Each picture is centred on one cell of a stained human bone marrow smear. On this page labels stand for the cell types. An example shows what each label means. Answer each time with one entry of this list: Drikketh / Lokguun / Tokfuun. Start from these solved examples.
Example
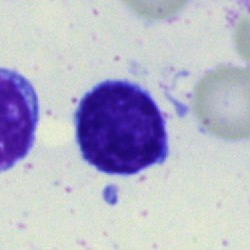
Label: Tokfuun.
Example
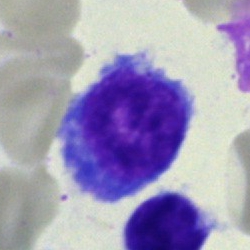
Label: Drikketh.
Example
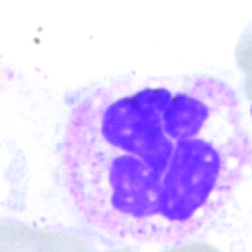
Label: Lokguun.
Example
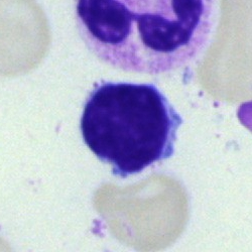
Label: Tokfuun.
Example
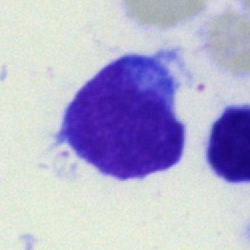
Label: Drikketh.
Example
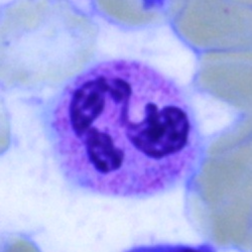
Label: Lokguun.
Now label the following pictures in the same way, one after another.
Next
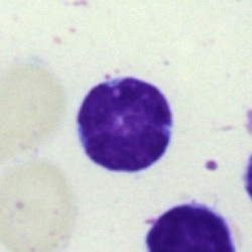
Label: Tokfuun.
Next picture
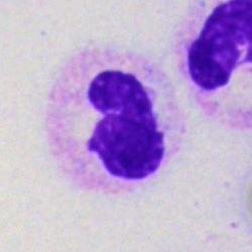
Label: Lokguun.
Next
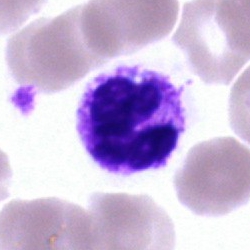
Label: Lokguun.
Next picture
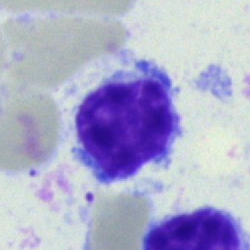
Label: Tokfuun.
